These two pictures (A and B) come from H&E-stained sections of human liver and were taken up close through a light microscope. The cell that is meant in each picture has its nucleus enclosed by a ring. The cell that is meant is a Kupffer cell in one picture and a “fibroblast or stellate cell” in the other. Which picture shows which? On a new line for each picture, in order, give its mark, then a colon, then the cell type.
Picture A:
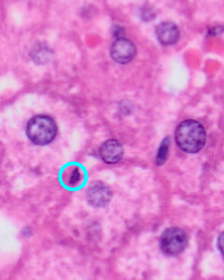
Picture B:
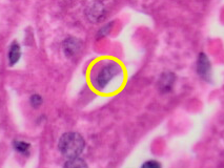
A: fibroblast or stellate cell
B: Kupffer cell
